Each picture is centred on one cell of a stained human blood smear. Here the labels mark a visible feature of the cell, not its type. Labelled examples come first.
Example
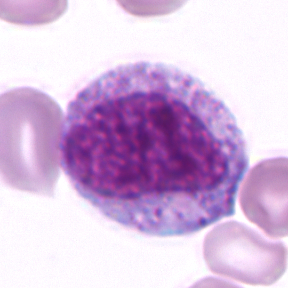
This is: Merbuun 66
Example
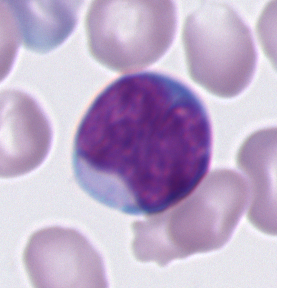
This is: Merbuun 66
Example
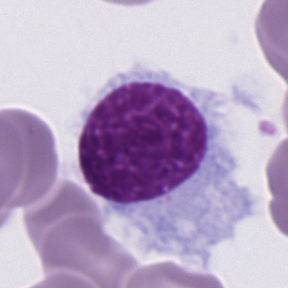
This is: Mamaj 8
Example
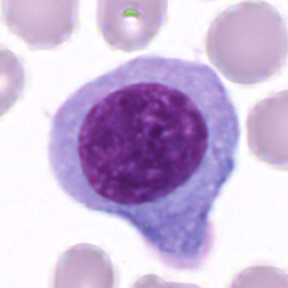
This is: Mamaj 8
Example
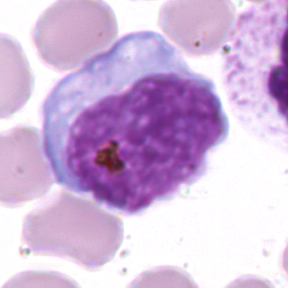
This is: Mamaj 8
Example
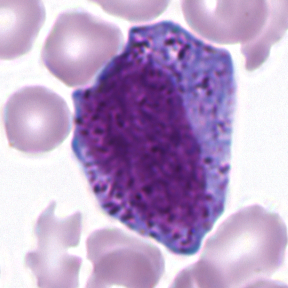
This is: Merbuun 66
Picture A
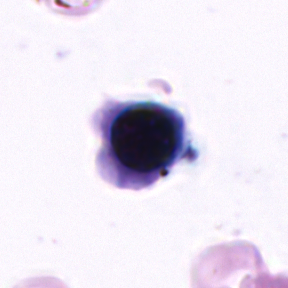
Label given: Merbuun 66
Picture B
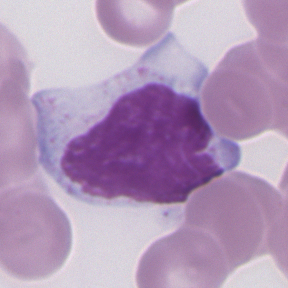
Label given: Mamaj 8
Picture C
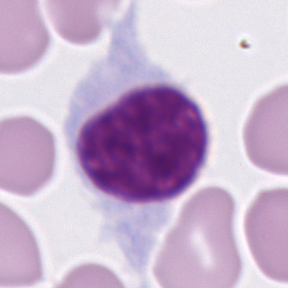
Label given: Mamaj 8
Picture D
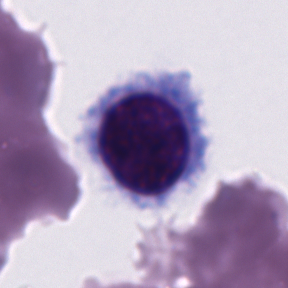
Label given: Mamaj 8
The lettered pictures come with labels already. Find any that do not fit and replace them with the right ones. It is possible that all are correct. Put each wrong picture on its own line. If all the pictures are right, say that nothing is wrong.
Wrong: D (Mamaj 8); correct: Merbuun 66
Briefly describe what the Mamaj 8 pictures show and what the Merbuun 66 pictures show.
In Mamaj 8: abundant cytoplasm. In Merbuun 66: scant cytoplasm.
